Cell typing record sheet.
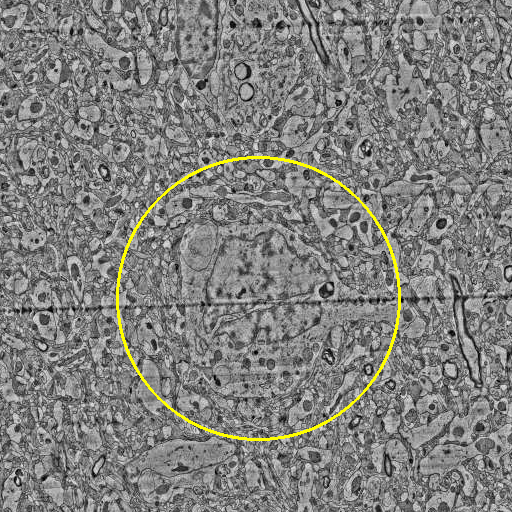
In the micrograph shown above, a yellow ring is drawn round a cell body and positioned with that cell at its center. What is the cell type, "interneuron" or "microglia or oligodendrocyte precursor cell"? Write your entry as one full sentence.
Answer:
The cell body at the center of the ring belongs to an interneuron.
